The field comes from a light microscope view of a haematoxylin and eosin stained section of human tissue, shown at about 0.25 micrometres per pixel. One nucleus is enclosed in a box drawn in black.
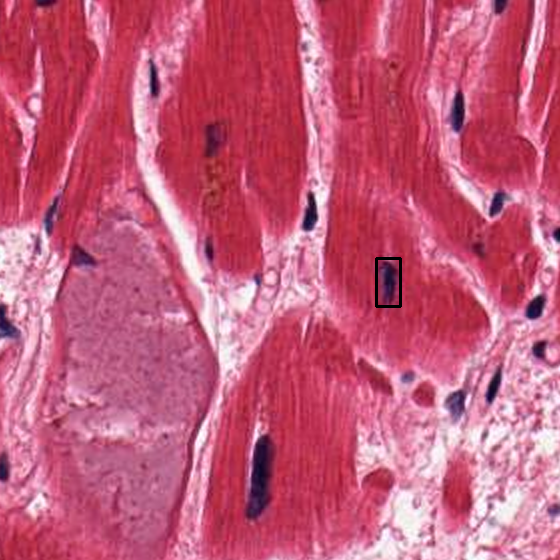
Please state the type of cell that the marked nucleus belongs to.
cardiomyocyte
